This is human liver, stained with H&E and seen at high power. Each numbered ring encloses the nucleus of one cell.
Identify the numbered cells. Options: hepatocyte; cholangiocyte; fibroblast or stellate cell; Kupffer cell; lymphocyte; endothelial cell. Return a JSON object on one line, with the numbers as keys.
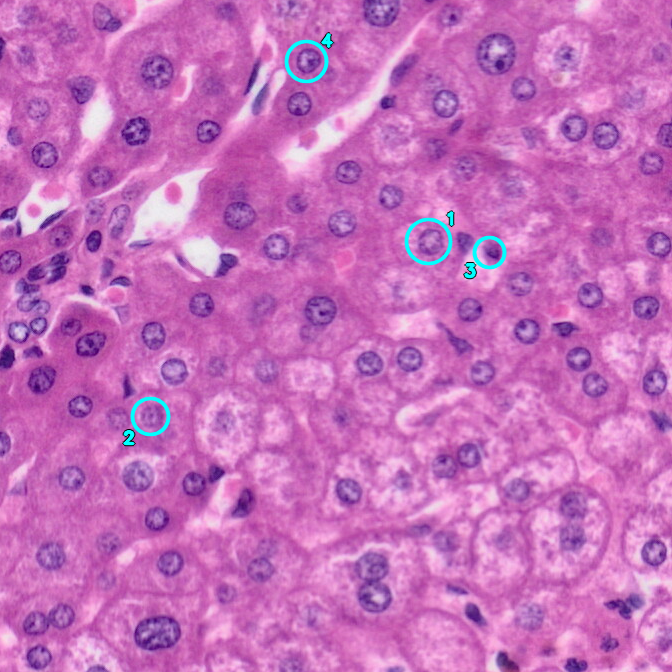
{"1": "hepatocyte", "2": "hepatocyte", "3": "Kupffer cell", "4": "hepatocyte"}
